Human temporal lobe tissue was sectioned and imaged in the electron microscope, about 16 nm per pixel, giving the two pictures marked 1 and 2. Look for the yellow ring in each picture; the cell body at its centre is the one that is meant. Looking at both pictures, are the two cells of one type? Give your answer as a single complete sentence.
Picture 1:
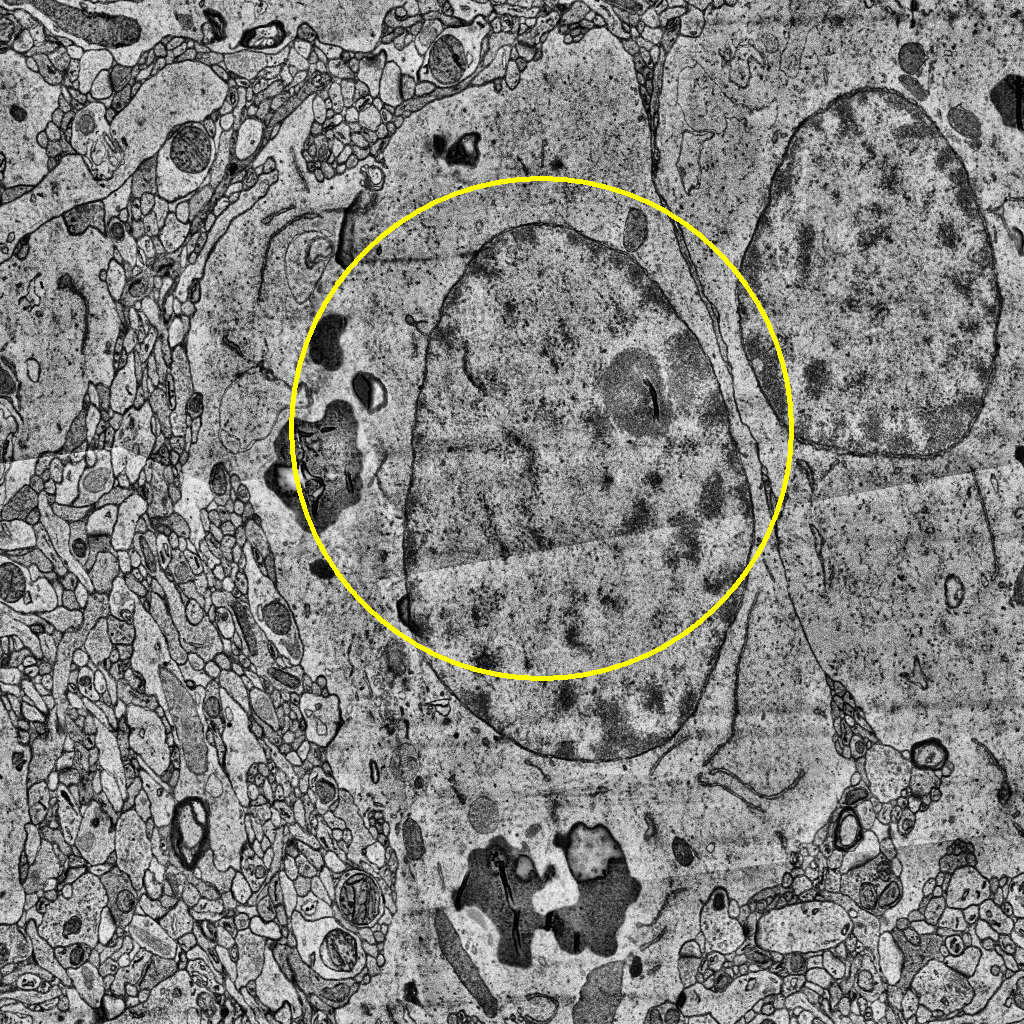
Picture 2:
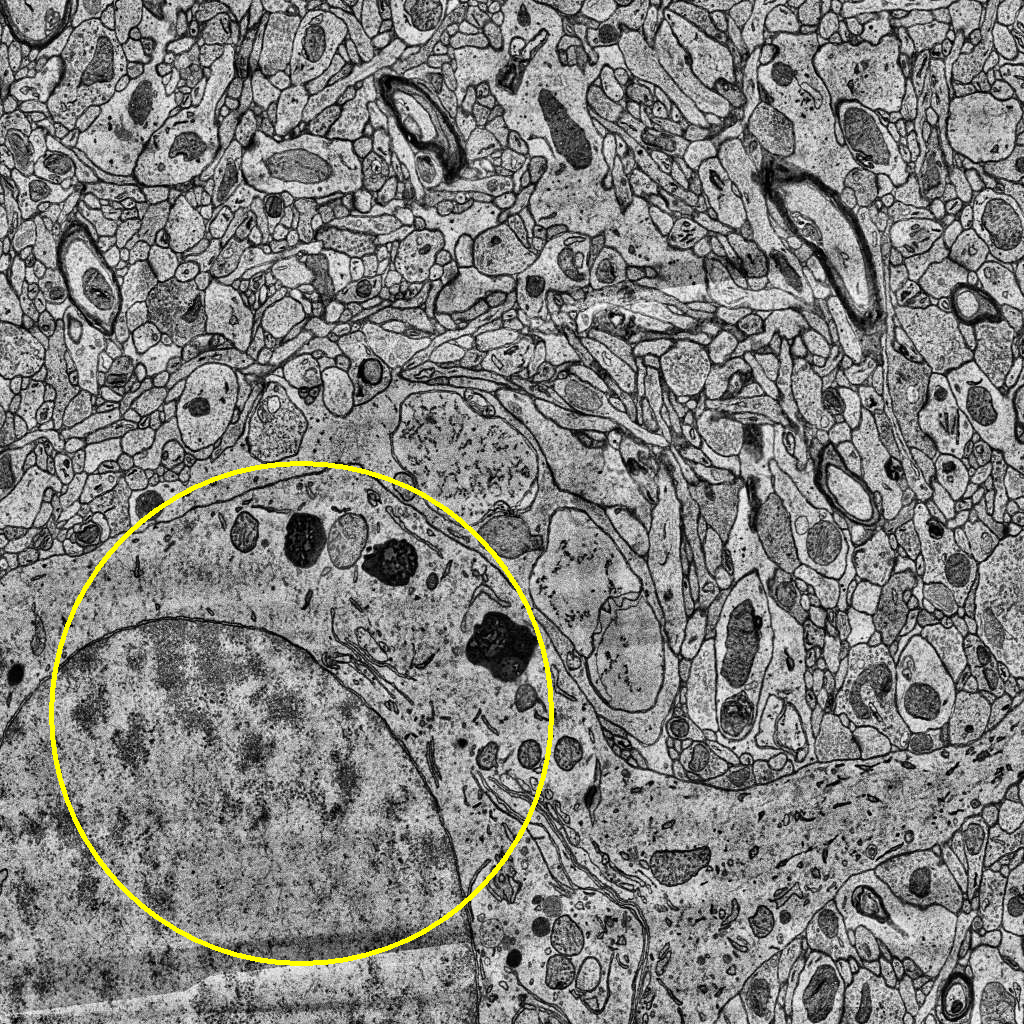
No, the types are not the same, since picture 1 shows an astrocyte and picture 2 a pyramidal neuron.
